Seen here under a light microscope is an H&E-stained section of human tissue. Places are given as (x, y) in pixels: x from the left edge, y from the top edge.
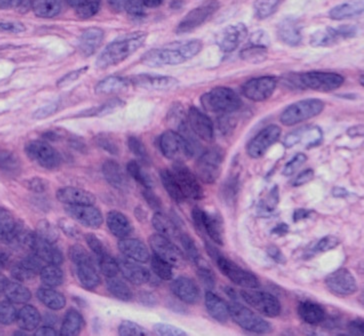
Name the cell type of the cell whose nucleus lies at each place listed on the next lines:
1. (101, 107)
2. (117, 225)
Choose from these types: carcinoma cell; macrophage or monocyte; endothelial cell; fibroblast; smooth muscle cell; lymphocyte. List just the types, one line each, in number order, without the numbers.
fibroblast
carcinoma cell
